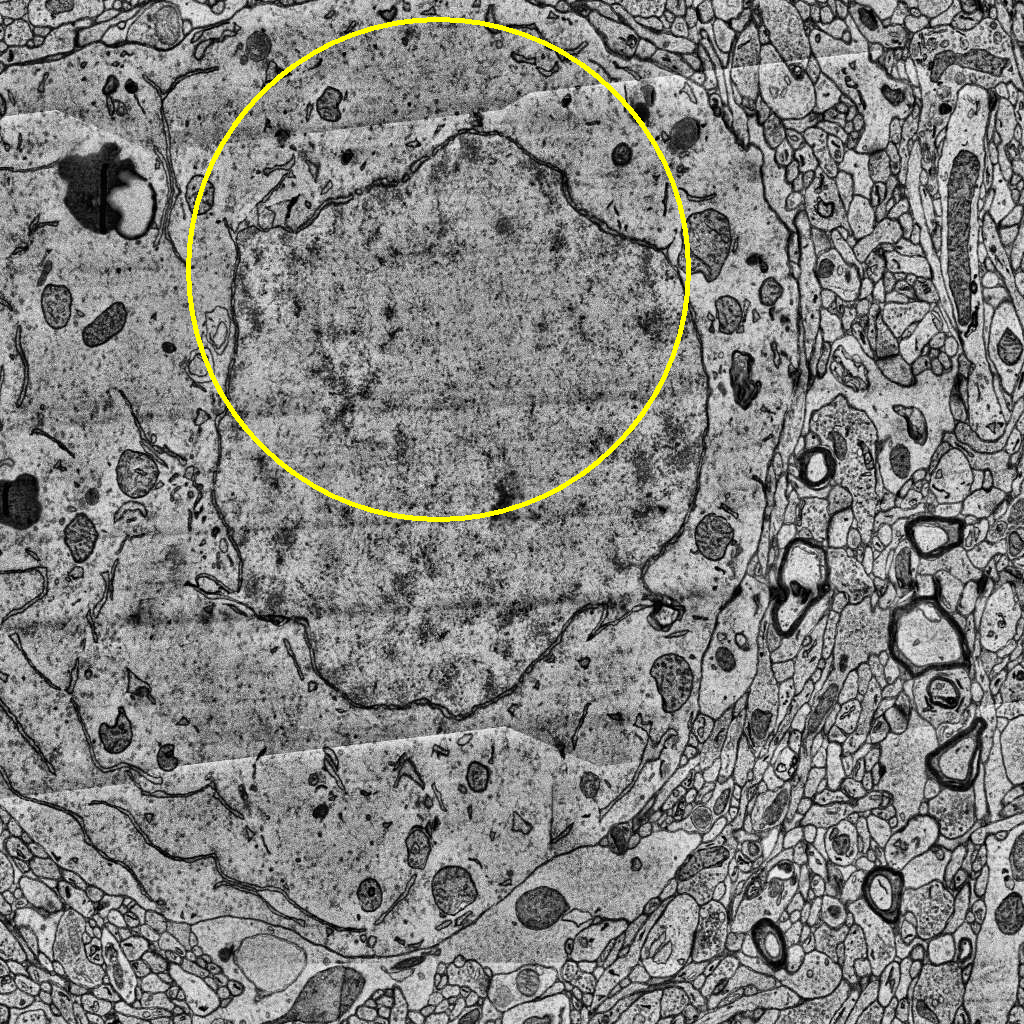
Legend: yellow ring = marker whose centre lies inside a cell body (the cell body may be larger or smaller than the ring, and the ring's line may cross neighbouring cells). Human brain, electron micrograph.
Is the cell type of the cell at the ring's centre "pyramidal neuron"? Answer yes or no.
yes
